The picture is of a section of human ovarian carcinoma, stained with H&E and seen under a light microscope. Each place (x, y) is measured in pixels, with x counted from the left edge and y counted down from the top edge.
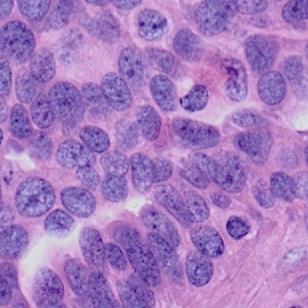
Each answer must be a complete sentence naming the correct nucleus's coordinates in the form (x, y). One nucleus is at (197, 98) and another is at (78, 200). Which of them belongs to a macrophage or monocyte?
Of the two, the nucleus lying at (197, 98) is the one belonging to a macrophage or monocyte.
